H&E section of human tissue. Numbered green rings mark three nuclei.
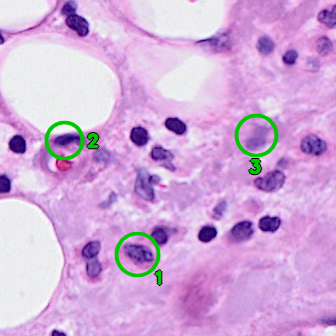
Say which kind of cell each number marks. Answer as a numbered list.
1. mast cell
2. endothelial cell
3. fibroblast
